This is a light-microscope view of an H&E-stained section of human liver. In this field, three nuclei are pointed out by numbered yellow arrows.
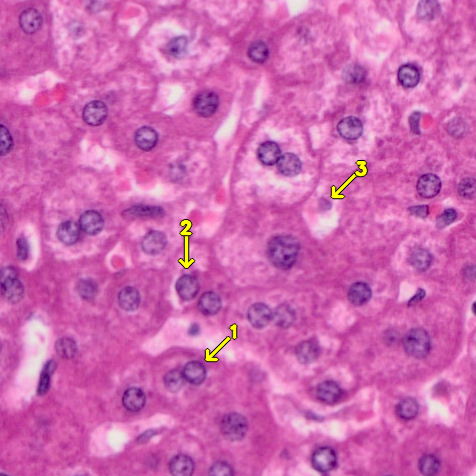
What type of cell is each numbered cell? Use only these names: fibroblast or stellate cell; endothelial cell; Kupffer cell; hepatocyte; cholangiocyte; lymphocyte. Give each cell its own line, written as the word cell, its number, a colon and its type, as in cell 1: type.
cell 1: hepatocyte
cell 2: hepatocyte
cell 3: Kupffer cell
